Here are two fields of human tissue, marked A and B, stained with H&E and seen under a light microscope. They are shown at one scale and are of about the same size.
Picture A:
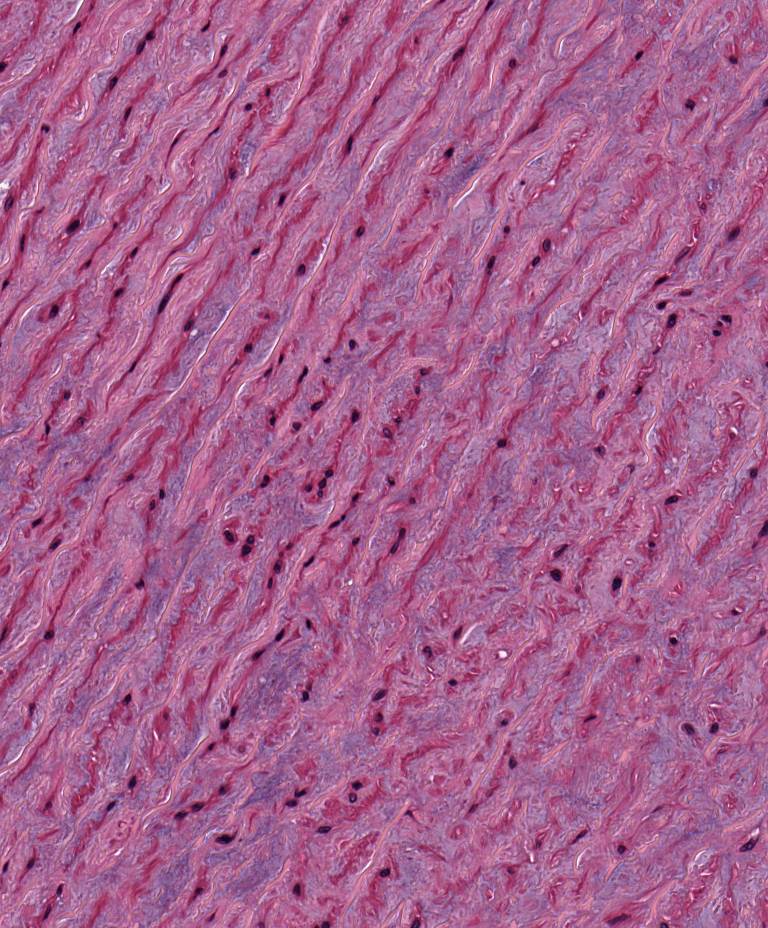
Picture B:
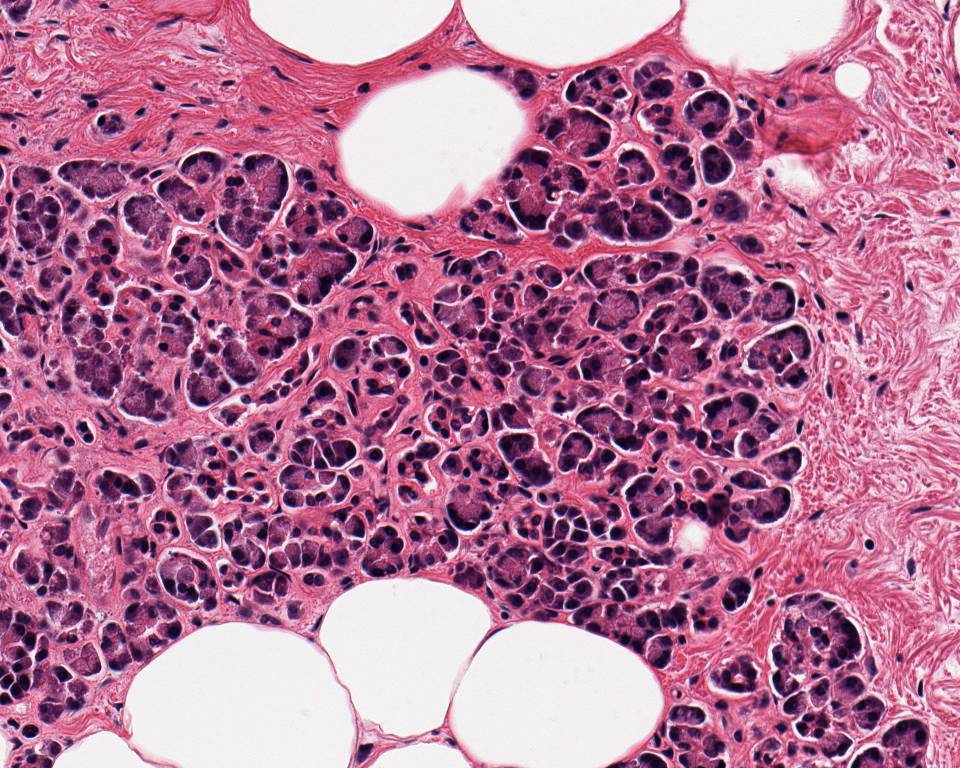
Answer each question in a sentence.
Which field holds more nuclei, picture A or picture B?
It is picture B that has more nuclei in it.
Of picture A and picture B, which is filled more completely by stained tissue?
It is picture A that stained tissue fills more completely.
